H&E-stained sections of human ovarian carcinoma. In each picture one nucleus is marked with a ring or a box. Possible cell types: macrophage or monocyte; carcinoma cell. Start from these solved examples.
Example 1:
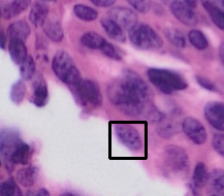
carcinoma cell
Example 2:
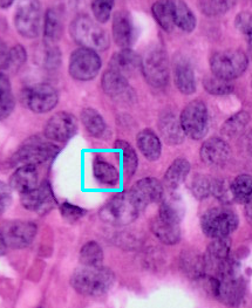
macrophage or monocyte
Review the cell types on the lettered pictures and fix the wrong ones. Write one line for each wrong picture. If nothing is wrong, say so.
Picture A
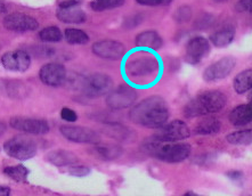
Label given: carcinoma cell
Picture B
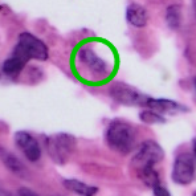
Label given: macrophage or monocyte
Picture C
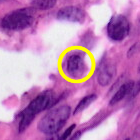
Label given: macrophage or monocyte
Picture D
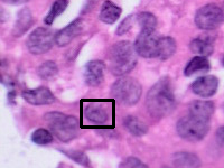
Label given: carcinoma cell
None of the labels needs changing.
